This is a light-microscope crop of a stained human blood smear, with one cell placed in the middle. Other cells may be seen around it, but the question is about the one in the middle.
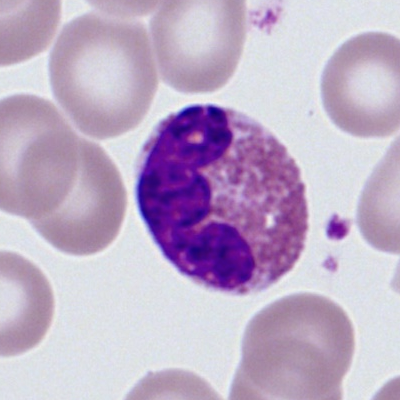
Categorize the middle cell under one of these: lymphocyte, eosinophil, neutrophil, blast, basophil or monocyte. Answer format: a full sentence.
The cell in the middle of the field of view is an eosinophil.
